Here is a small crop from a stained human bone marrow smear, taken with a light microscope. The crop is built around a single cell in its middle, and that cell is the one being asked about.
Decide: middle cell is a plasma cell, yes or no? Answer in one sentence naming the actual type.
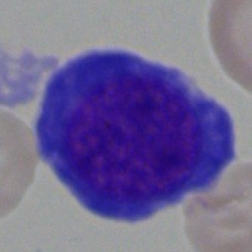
No, the cell at the centre of the crop is a proerythroblast and not a plasma cell.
